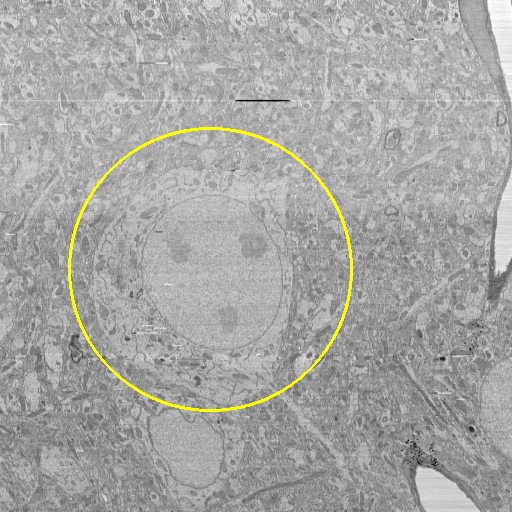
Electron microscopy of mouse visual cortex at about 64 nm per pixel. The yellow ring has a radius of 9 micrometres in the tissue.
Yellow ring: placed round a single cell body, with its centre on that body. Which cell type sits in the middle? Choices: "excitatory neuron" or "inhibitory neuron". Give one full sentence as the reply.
It is an excitatory neuron whose cell body sits at the centre of the yellow ring.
